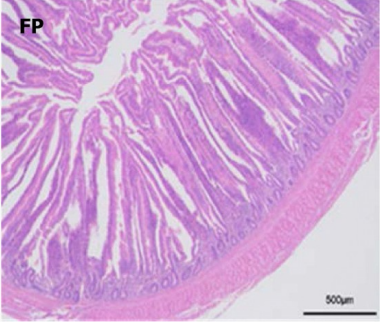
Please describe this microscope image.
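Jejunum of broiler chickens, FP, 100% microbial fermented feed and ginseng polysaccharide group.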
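Near the outer edge, a thin row of crypts lies at the villus bases, enclosed by a pink muscular coat. The villi are packed side by side and run almost the full depth from the wall to the lumen.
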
